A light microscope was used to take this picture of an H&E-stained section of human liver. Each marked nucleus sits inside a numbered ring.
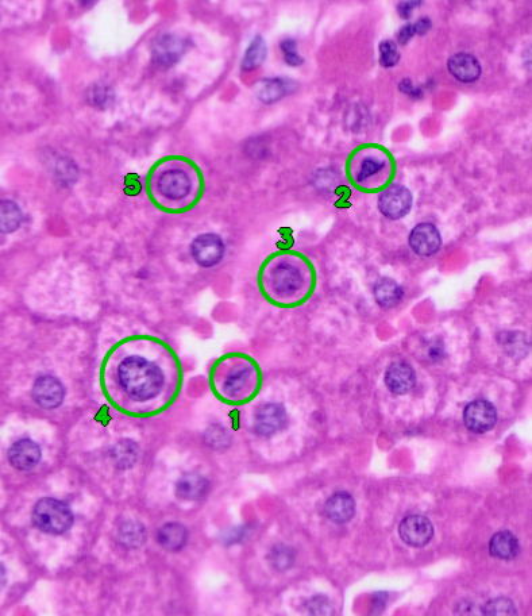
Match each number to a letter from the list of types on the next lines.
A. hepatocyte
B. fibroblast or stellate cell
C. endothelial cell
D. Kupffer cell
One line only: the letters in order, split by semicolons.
C; B; A; A; A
